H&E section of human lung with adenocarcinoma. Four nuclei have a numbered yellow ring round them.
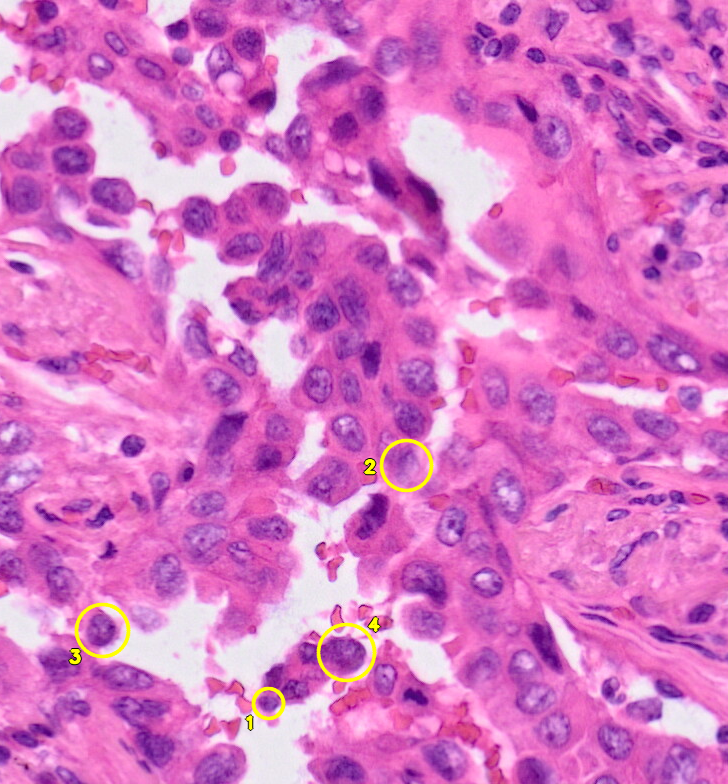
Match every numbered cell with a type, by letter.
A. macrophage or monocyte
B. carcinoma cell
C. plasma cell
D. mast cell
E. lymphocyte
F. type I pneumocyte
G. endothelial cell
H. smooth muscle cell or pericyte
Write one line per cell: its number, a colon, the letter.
1: E
2: B
3: B
4: B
